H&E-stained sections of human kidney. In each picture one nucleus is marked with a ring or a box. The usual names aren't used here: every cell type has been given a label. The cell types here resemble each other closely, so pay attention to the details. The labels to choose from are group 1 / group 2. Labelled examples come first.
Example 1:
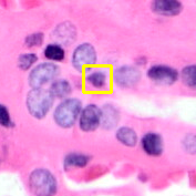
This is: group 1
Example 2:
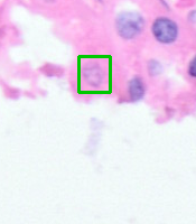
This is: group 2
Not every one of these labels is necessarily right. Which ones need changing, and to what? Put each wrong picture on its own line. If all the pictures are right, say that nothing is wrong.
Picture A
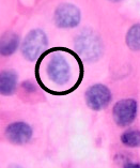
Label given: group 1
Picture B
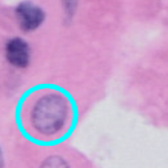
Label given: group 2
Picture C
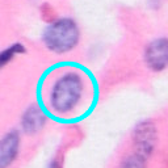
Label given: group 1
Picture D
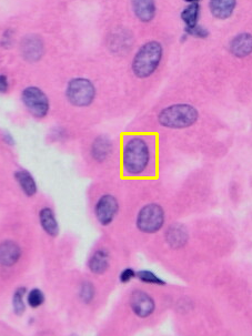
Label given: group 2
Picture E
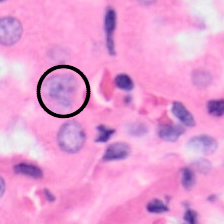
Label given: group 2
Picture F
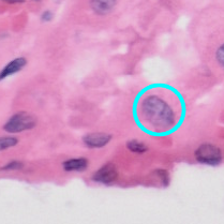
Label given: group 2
Every label is right.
